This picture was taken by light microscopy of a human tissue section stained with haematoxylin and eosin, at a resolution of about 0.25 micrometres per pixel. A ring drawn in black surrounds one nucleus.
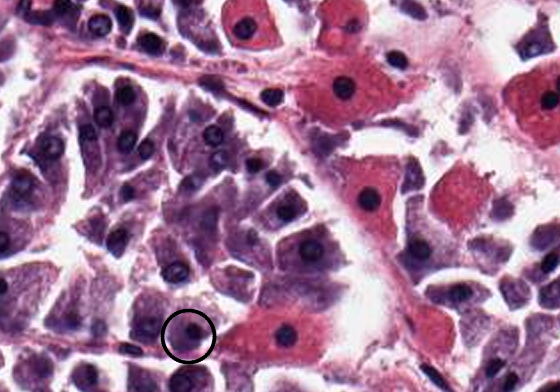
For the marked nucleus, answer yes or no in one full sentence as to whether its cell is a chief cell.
Yes, the marked nucleus is a part of a chief cell.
